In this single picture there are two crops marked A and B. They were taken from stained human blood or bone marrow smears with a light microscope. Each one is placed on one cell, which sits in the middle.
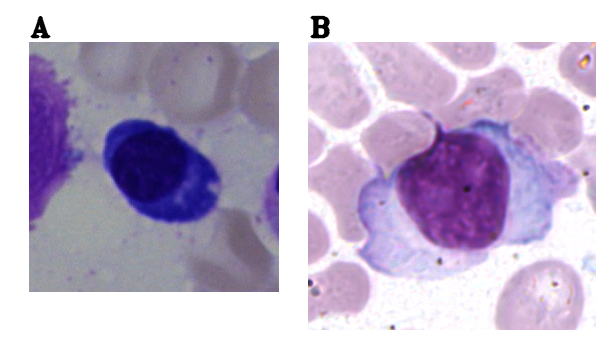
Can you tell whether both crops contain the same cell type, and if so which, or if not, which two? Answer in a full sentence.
Yes, plasma cells are the central cells in the two crops.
